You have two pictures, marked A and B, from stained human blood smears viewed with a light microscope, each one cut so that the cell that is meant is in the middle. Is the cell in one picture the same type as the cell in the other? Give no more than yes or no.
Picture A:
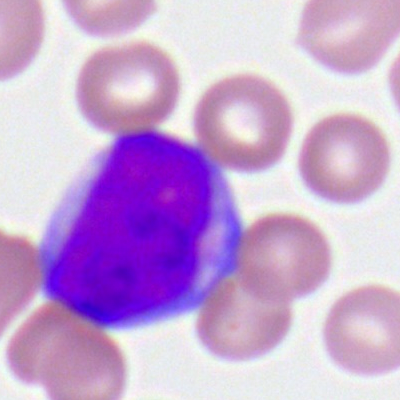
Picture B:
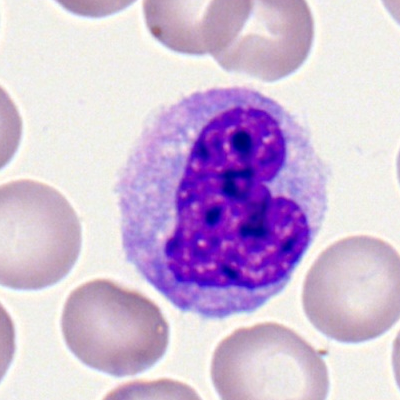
no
